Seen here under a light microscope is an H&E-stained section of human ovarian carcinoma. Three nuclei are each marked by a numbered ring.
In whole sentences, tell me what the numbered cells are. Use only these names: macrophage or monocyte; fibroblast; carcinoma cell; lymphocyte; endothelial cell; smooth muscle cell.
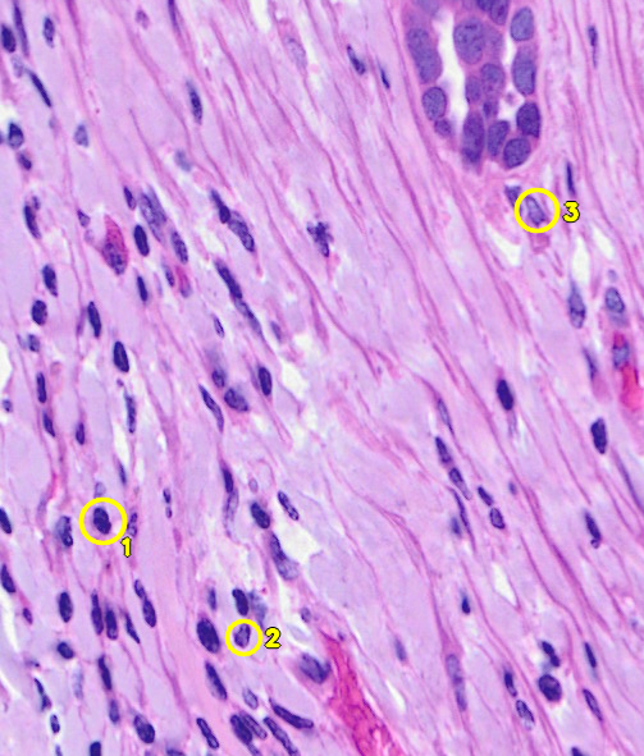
Cells 1 and 2 are lymphocytes. Cell 3 is a fibroblast.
